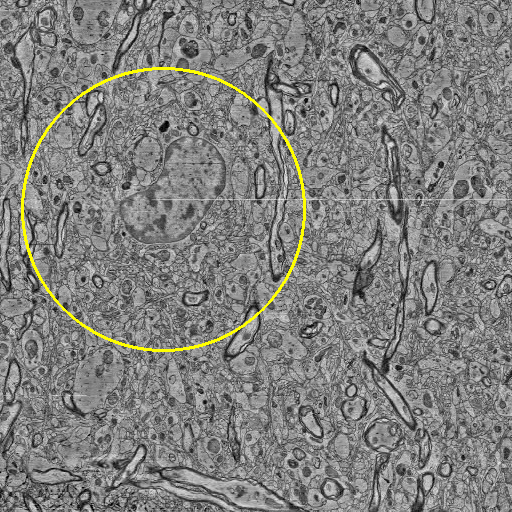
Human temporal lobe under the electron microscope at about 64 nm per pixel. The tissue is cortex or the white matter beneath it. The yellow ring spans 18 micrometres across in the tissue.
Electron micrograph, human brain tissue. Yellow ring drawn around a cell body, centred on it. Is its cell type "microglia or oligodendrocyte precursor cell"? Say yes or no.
yes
